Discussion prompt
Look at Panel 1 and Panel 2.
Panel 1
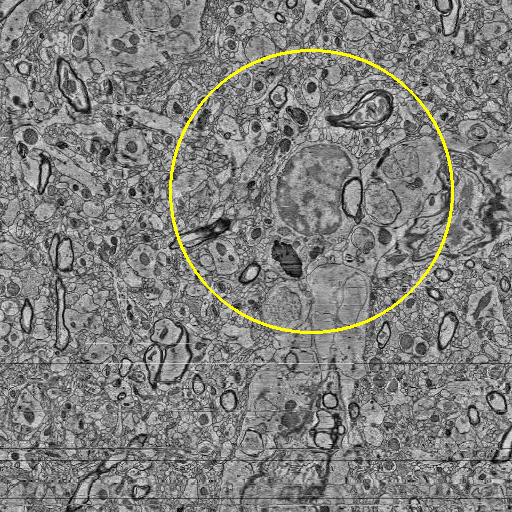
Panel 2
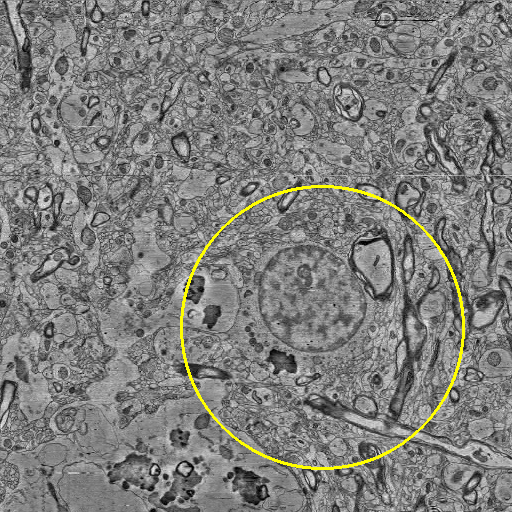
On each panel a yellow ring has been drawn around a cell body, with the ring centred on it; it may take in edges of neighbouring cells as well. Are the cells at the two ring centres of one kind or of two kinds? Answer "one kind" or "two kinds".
one kind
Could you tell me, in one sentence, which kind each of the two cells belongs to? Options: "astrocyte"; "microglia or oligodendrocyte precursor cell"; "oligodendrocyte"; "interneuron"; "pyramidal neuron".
The second cell is an oligodendrocyte, just as the first is.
